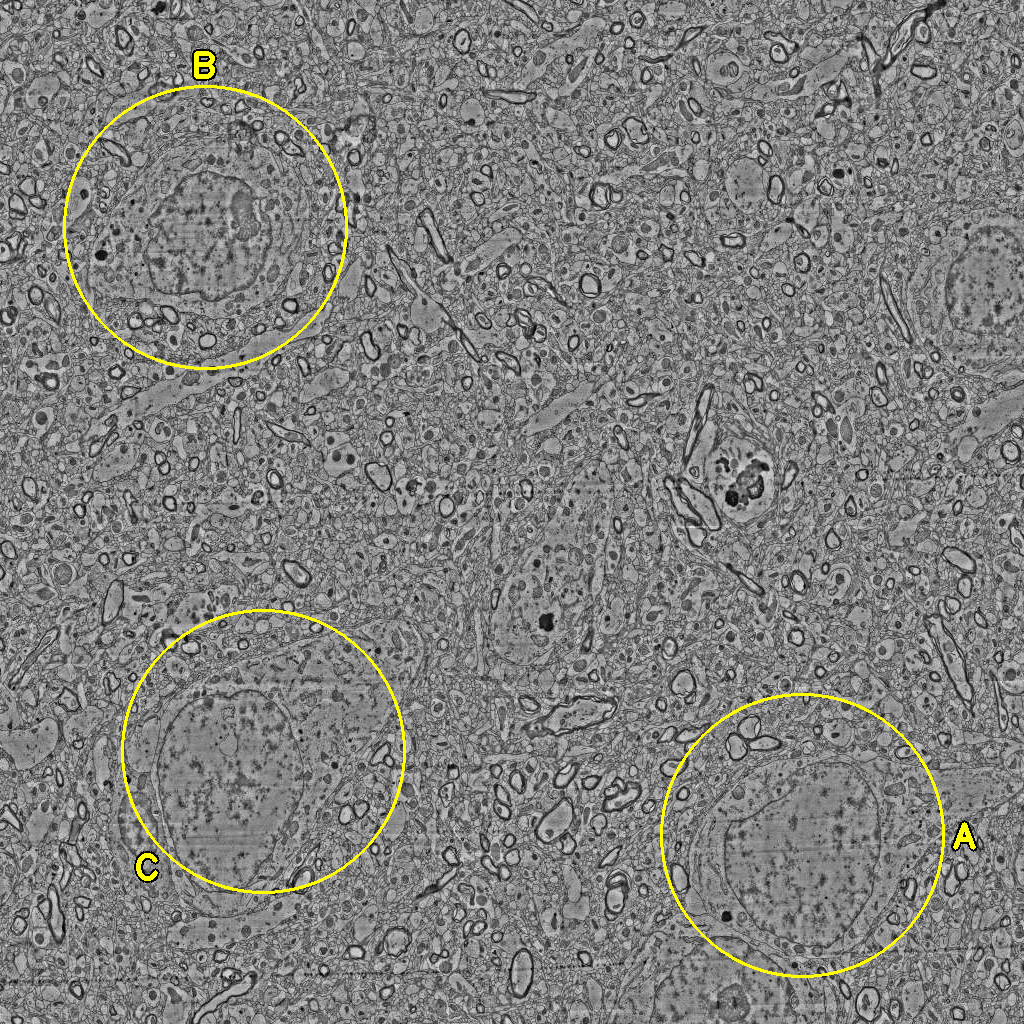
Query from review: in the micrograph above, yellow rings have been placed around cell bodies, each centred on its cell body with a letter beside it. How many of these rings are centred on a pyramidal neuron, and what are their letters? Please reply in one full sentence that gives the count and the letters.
The rings marked with the letters A and C, all two of them, are each centred on a pyramidal neuron.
